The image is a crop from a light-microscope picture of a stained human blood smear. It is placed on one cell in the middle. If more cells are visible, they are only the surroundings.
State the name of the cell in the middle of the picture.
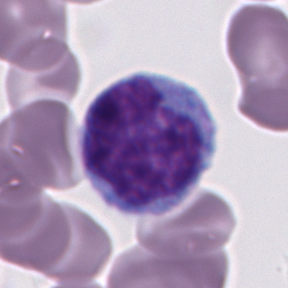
monocyte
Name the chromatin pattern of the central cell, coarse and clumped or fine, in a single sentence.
The chromatin of this one is coarsely clumped.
